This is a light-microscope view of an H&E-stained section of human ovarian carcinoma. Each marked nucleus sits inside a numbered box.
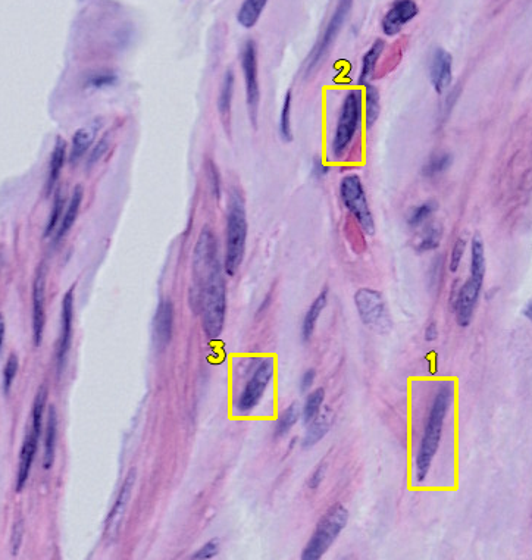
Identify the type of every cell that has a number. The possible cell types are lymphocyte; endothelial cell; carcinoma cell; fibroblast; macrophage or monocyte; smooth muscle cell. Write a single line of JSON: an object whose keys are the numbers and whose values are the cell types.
{"1": "smooth muscle cell", "2": "endothelial cell", "3": "smooth muscle cell"}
